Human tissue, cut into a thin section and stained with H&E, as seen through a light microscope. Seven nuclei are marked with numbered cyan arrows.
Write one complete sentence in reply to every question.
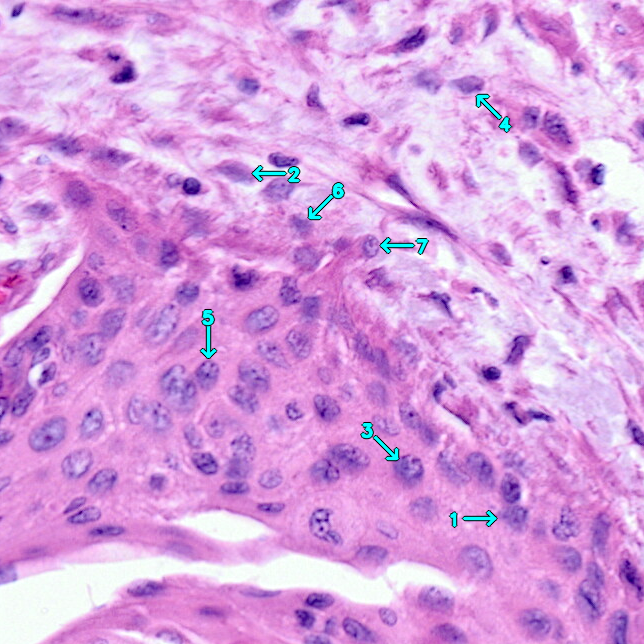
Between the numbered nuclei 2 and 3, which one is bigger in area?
Nucleus 3 is the larger one, covering about 2 times the area of nucleus 2.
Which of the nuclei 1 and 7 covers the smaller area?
Nucleus 7 covers less area, with nucleus 1 about 2.5 times as large.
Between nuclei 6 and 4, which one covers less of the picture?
The smaller nucleus is 6, and 4 covers roughly 2 times its area.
